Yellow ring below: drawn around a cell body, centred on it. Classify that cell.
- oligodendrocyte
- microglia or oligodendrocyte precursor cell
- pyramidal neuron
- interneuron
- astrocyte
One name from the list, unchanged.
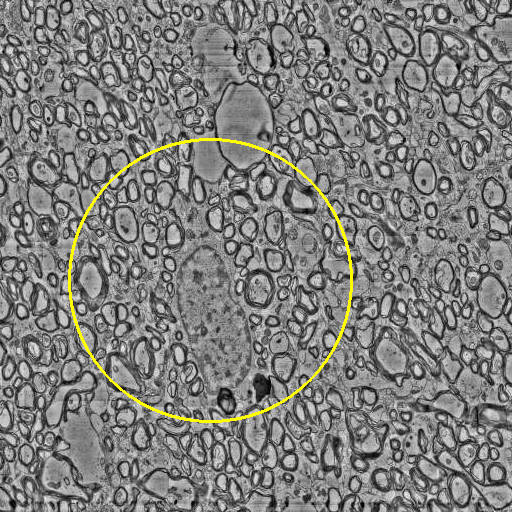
oligodendrocyte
